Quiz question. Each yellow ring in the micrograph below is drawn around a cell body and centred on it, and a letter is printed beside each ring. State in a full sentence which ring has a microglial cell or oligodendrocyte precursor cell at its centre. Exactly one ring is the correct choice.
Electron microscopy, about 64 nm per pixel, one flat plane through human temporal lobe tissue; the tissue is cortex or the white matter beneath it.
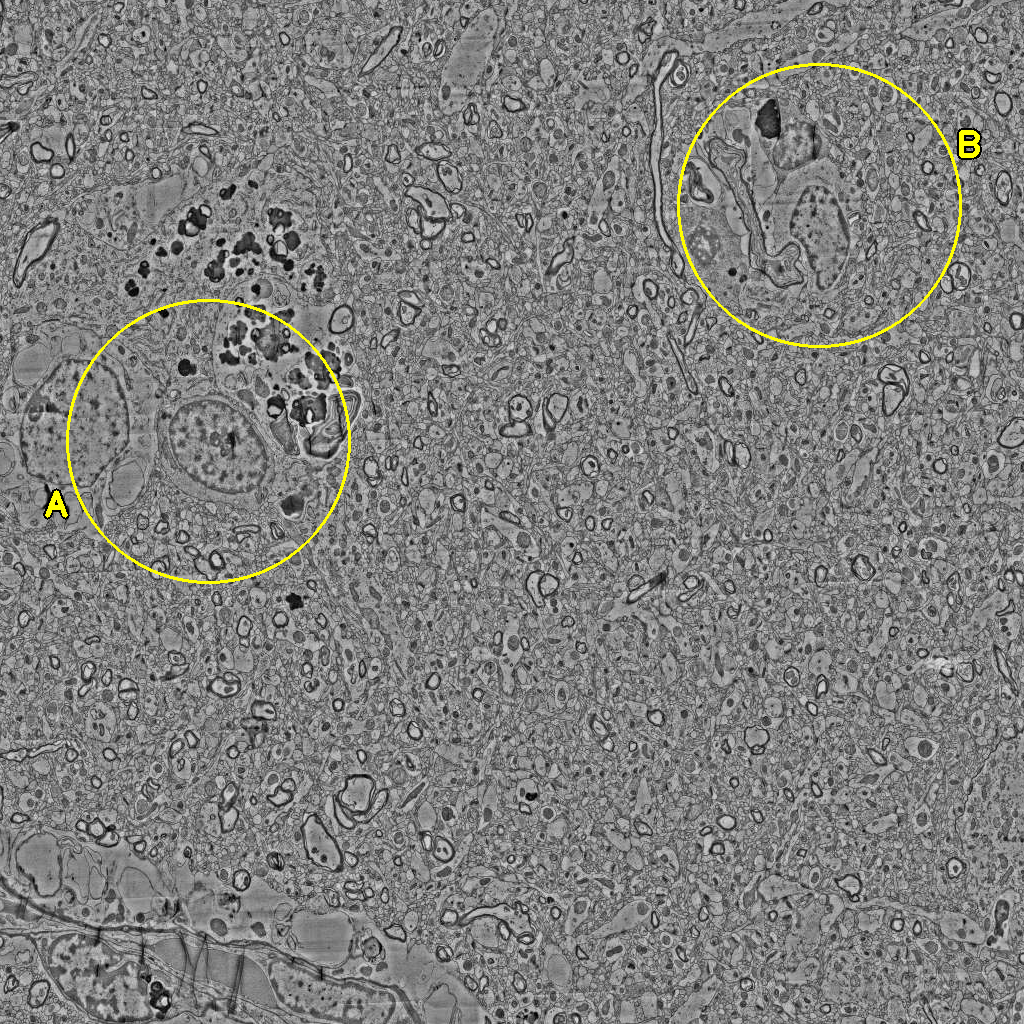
The correct ring is ring B.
